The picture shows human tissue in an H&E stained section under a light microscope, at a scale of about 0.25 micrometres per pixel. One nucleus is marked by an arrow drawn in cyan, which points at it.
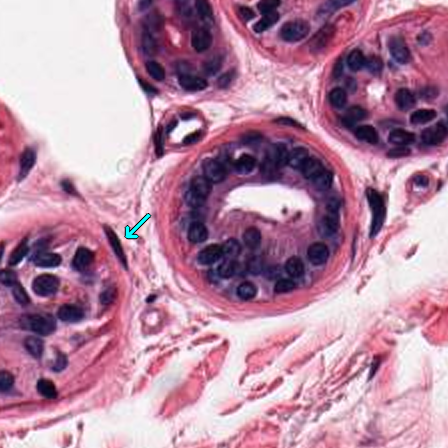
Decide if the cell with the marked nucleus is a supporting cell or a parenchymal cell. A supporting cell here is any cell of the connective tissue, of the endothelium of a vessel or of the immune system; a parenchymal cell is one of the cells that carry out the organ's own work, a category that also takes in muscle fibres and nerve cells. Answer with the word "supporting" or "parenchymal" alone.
supporting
